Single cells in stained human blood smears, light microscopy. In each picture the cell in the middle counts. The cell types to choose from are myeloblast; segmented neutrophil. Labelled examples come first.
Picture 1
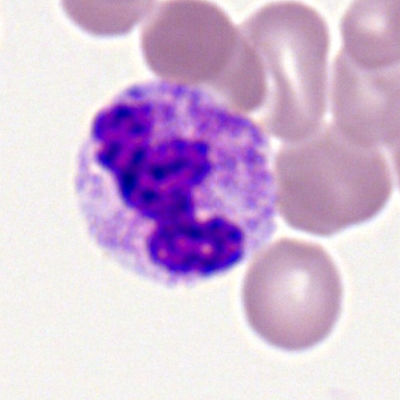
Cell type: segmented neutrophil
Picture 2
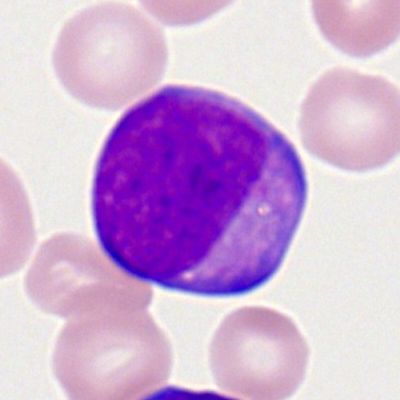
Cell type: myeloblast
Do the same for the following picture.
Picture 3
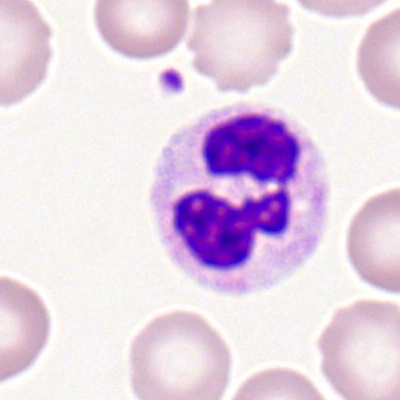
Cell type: segmented neutrophil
